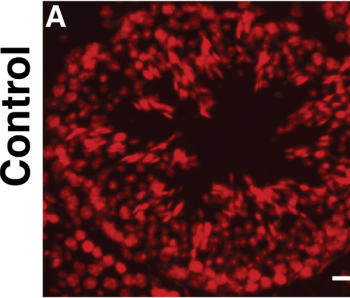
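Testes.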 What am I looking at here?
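This is a cross-section of a testis tubule with its nuclei shown in red. Round nuclei crowd in several layers from the outer wall inward, forming a thick epithelium around a central, dark lumen. Toward the lumen the nuclei become elongated and condensed, many slender and pointed, gathered in bundles whose tips point into the epithelium while the spaces between them open onto the lumen.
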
